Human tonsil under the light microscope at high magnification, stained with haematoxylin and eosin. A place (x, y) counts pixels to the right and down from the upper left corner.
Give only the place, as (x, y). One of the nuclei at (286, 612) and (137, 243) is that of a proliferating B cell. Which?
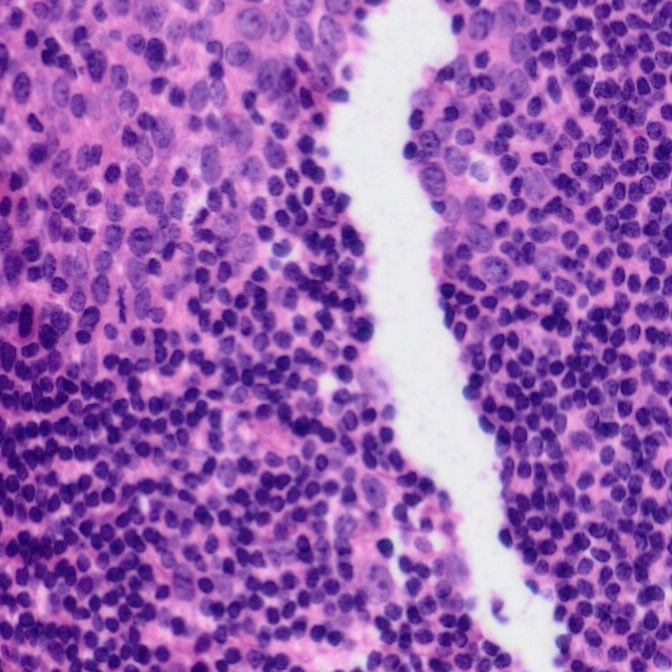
(137, 243)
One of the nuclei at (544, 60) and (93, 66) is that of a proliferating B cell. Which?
(93, 66)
